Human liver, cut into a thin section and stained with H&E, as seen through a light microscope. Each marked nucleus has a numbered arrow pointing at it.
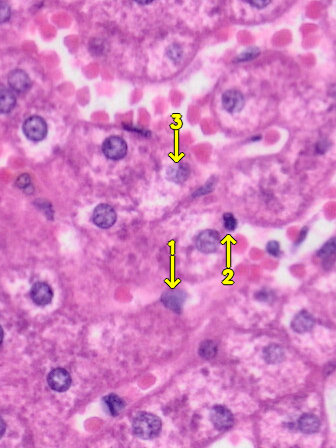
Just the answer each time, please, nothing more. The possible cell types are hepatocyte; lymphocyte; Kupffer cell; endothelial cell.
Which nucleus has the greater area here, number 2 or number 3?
3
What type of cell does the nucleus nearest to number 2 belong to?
hepatocyte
